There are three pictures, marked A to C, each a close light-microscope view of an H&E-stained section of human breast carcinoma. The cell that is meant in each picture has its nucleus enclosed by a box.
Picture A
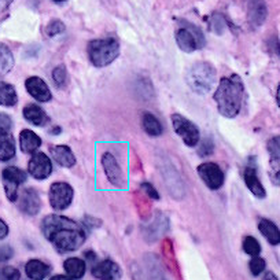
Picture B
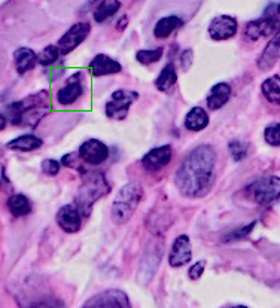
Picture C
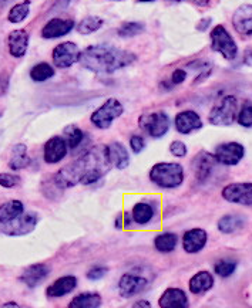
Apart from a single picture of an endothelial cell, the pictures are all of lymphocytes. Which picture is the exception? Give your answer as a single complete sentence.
Picture A is the one that shows the endothelial cell.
